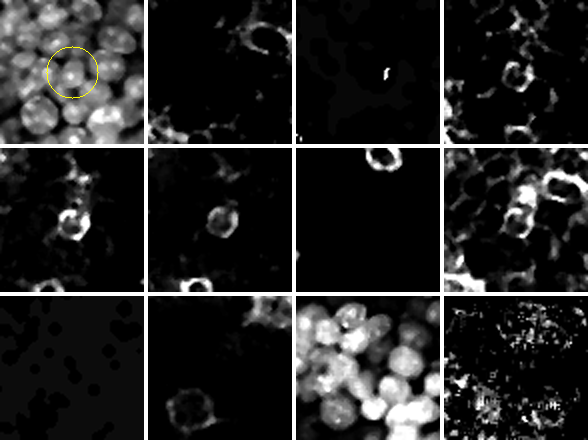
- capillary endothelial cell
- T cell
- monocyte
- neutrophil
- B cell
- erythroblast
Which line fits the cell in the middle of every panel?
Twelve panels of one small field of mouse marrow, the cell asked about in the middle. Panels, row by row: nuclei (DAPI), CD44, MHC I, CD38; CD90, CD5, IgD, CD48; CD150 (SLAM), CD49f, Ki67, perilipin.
T cell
